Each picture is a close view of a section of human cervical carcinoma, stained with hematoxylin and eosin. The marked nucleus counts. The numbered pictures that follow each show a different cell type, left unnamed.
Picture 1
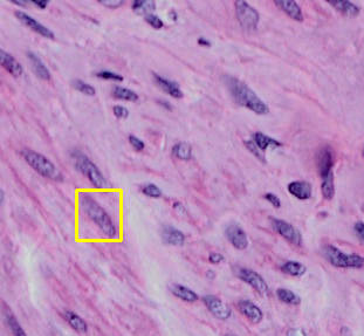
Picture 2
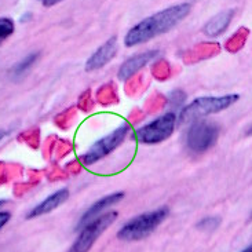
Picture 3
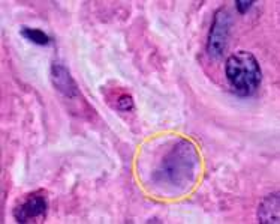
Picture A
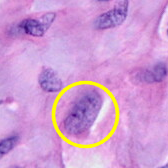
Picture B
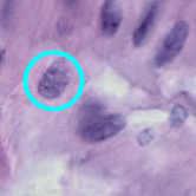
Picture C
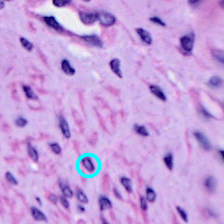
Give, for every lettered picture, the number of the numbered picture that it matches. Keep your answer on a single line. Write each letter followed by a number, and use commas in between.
A 2, B 3, C 1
